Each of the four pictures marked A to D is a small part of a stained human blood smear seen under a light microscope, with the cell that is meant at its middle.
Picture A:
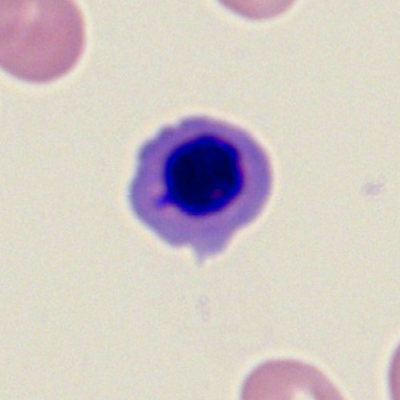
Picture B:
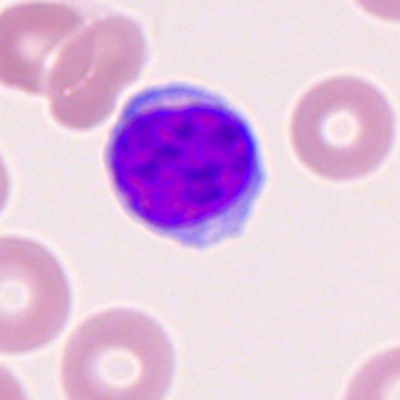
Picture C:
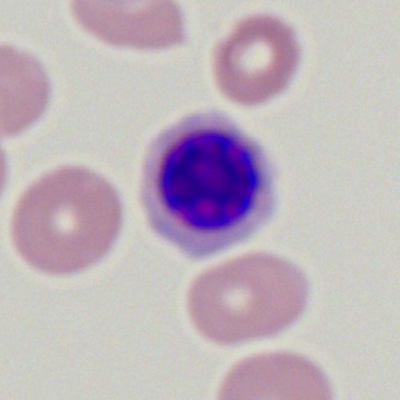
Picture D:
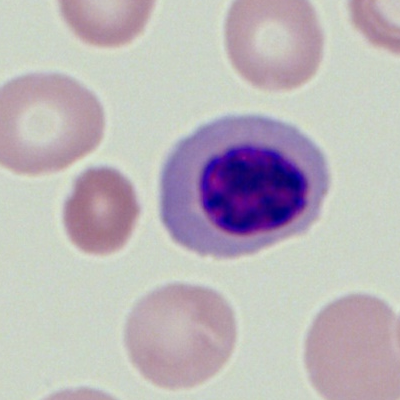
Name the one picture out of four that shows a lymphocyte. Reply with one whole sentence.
Picture B is the one that shows the lymphocyte.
